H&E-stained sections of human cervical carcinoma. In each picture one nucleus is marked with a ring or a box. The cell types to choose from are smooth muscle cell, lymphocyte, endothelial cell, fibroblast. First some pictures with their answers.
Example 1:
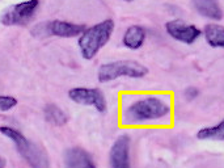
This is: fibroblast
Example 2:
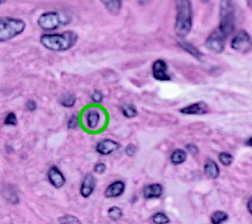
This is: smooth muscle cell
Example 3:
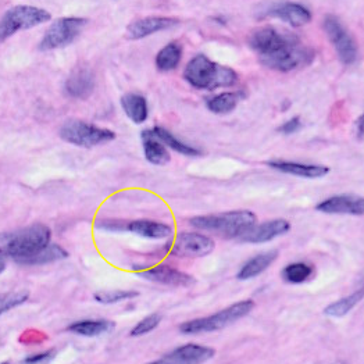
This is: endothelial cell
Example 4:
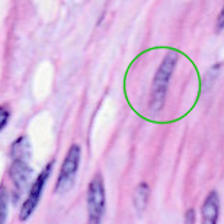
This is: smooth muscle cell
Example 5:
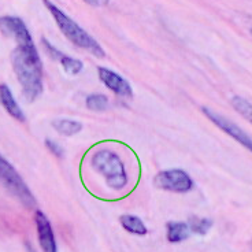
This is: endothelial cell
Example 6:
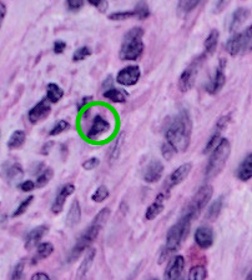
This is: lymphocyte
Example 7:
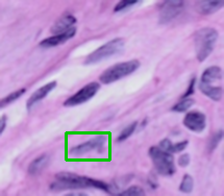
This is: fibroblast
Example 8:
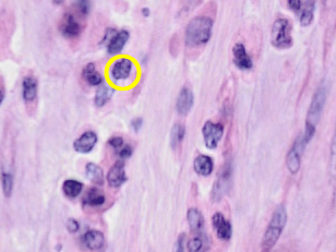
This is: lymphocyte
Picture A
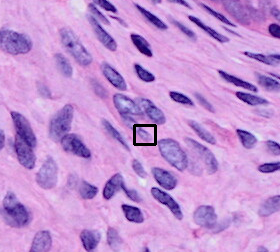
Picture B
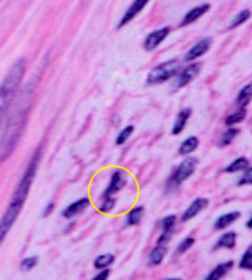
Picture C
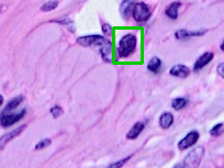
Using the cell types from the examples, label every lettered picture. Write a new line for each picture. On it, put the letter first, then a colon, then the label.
A: endothelial cell
B: smooth muscle cell
C: lymphocyte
